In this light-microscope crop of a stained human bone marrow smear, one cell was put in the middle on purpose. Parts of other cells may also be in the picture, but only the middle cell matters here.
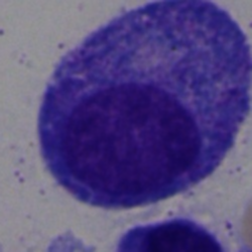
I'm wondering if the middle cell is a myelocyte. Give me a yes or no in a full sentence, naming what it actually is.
No, the central cell qualifies as a promyelocyte rather than as a myelocyte.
